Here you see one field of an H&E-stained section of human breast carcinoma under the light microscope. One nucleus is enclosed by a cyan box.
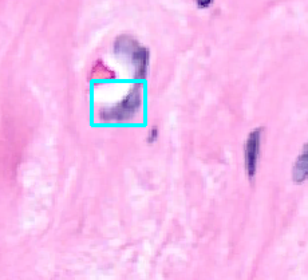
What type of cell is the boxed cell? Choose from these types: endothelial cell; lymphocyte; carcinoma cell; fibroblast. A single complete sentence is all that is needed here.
Placed in its cell category, the boxed cell is an endothelial cell.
